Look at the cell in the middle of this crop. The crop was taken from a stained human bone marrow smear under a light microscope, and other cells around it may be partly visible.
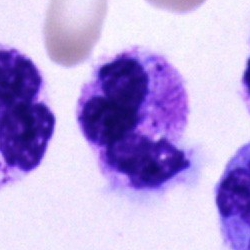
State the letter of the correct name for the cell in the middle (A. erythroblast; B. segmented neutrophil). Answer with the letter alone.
B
